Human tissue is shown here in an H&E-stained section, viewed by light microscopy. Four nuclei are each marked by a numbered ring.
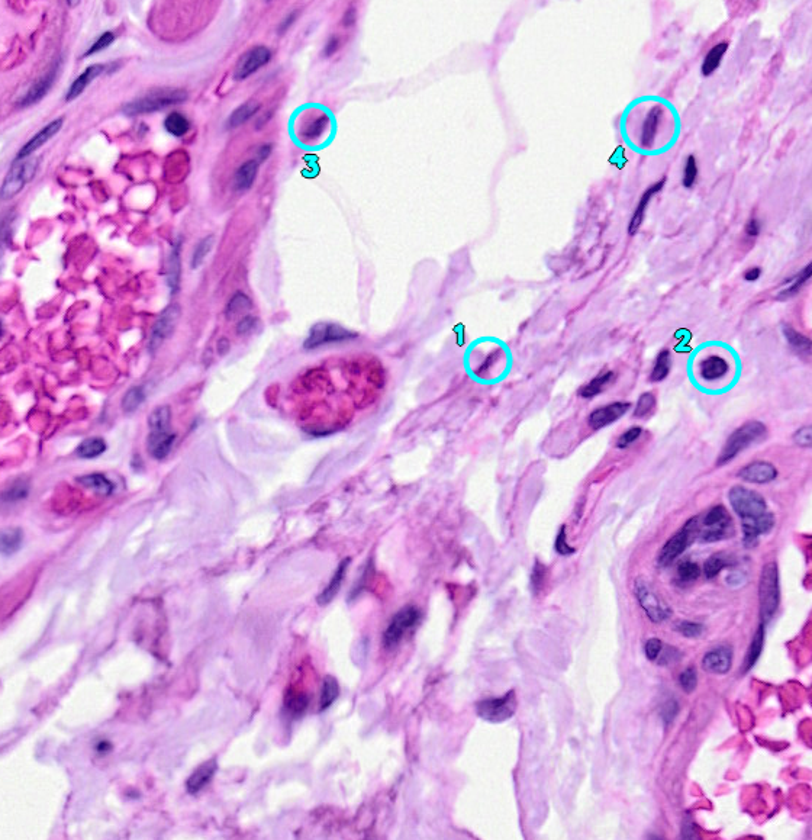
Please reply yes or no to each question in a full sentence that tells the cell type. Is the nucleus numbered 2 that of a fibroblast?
No. Cell number 2 is a lymphocyte, not a fibroblast.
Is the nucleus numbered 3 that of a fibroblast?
No, the cell marked 3 is an endothelial cell rather than a fibroblast.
